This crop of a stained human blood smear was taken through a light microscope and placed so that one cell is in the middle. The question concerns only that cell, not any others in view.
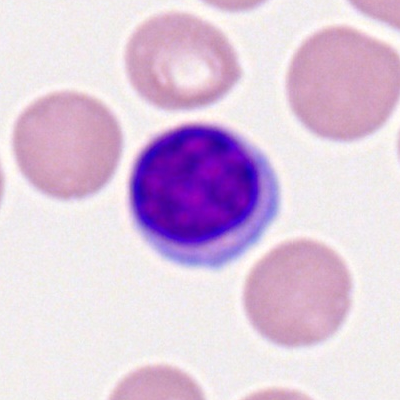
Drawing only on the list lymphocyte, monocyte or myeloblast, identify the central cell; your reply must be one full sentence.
Located at the centre of the crop is a lymphocyte.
